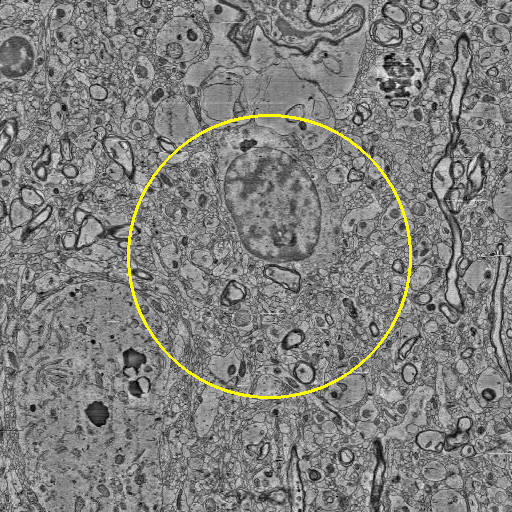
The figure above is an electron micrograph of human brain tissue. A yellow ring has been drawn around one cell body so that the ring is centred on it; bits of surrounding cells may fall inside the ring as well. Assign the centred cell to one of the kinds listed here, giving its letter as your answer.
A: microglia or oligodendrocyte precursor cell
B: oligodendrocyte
B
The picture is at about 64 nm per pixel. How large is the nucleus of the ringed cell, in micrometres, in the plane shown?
The nucleus works out at approximately 8 by 6 micrometres in this plane.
